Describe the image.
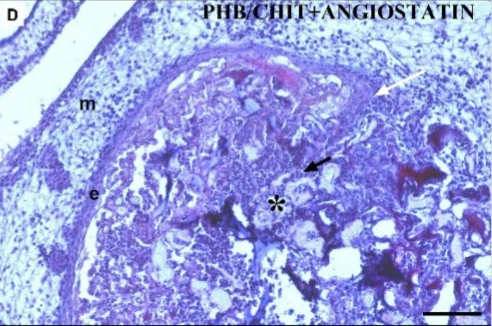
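Chorioallantoic membrane with a scaffold implant whose pale pores are crowded with purple-stained cells. A thin capsule of flattened tissue encloses the implant, and the surrounding mesoderm contains many small, round, dark-staining cells.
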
